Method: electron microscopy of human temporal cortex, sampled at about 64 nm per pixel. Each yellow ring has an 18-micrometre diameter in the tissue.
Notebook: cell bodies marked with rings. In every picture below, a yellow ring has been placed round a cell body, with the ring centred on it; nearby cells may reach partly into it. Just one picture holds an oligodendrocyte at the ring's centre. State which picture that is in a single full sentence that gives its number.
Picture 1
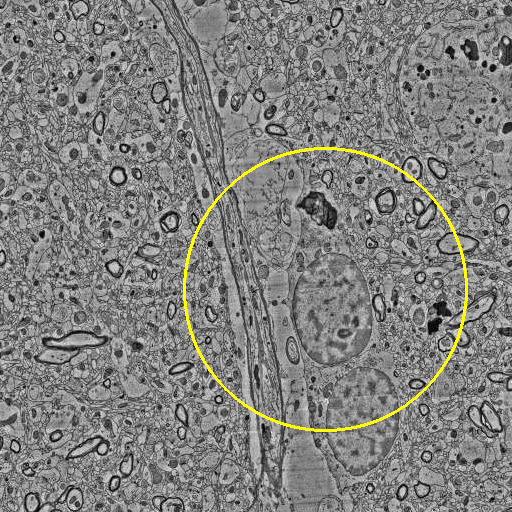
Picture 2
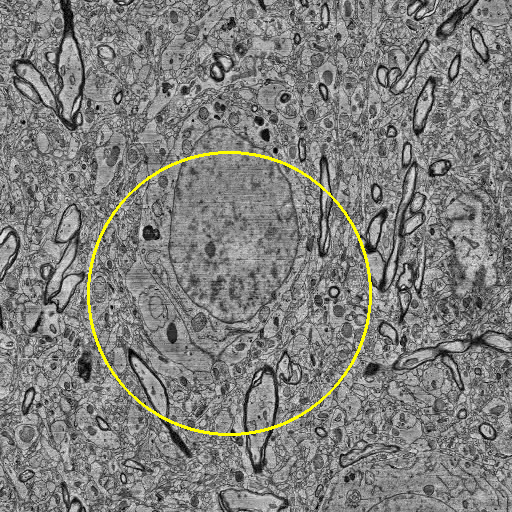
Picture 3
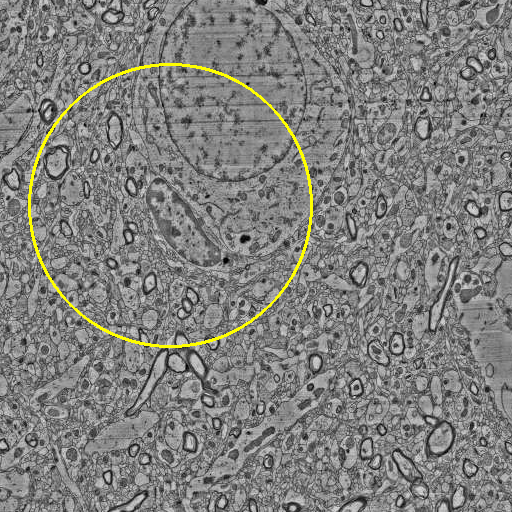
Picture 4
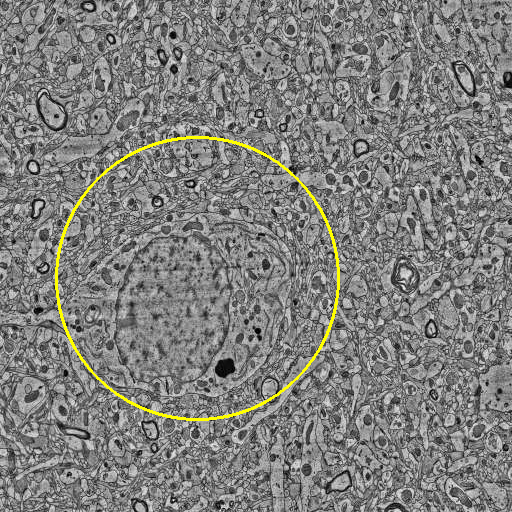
It is picture 1 whose ring has the wanted cell right at its centre.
